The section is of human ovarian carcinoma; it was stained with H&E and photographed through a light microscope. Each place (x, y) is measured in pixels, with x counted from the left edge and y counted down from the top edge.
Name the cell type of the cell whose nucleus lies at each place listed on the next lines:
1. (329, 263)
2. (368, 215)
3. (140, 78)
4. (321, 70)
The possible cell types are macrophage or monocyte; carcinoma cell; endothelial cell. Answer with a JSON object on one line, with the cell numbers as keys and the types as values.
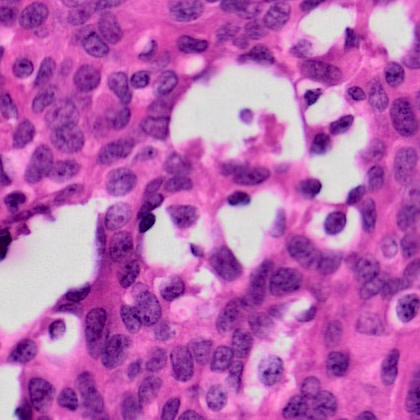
{"1": "carcinoma cell", "2": "carcinoma cell", "3": "macrophage or monocyte", "4": "carcinoma cell"}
